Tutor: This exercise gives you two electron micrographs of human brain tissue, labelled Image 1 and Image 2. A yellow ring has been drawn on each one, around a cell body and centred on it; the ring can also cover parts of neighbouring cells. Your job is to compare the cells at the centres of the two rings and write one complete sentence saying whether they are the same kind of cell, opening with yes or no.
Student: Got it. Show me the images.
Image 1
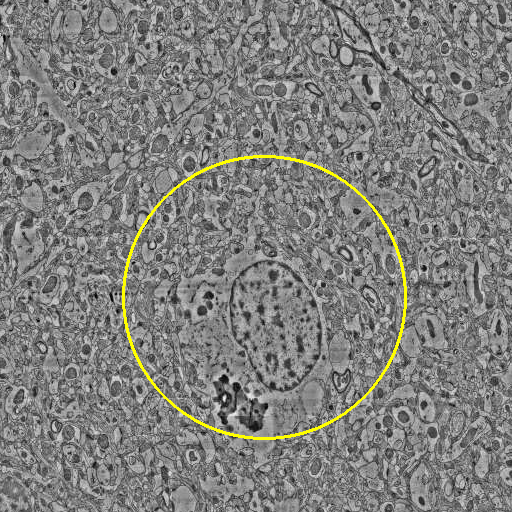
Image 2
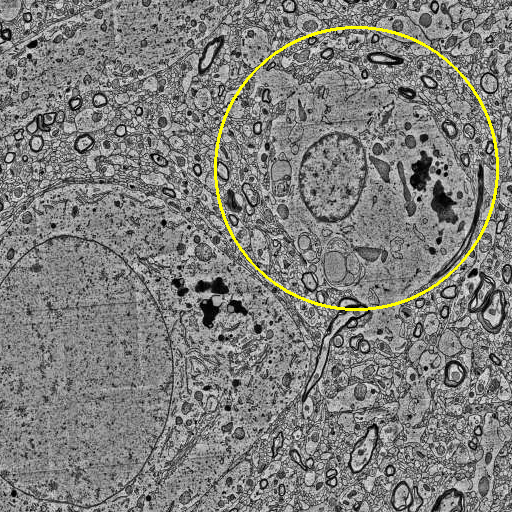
Yes, the two cells belong to the same kind.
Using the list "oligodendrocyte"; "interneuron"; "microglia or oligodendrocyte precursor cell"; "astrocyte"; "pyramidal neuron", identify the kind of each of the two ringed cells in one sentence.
Each of the two cells is an astrocyte.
